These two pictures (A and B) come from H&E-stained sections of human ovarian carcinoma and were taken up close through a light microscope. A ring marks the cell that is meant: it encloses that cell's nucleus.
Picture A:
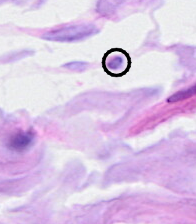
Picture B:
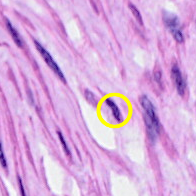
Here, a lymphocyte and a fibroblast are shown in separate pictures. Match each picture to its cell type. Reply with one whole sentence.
In picture A the cell is a lymphocyte; in picture B, a fibroblast.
